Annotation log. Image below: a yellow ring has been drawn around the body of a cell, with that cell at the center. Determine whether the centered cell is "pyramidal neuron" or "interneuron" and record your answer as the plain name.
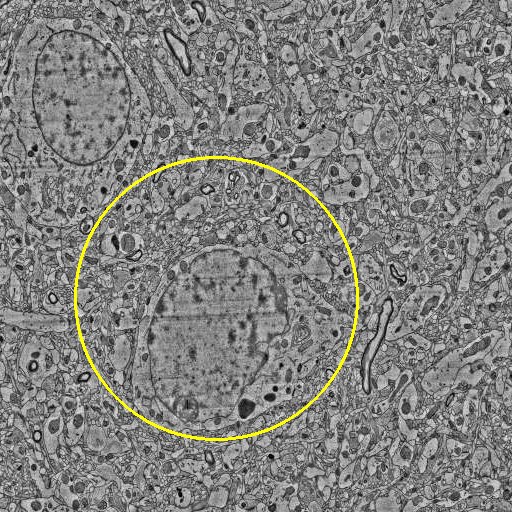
interneuron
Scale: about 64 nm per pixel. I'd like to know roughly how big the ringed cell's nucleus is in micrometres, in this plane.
The nucleus works out at approximately 11 by 8 micrometres in this plane.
